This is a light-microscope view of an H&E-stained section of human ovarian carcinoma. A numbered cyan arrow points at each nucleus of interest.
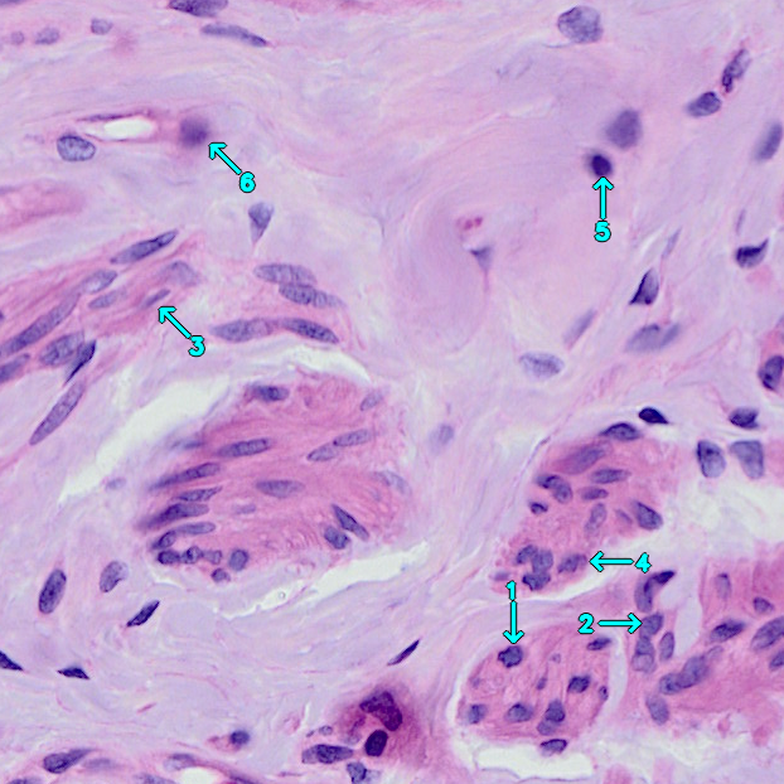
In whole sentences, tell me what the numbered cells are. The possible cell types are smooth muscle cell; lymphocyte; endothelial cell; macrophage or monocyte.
Cell 1 is a smooth muscle cell, cell 2 is a smooth muscle cell, cell 3 is a smooth muscle cell, cell 4 is a smooth muscle cell, cell 5 is a lymphocyte and cell 6 is an endothelial cell.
